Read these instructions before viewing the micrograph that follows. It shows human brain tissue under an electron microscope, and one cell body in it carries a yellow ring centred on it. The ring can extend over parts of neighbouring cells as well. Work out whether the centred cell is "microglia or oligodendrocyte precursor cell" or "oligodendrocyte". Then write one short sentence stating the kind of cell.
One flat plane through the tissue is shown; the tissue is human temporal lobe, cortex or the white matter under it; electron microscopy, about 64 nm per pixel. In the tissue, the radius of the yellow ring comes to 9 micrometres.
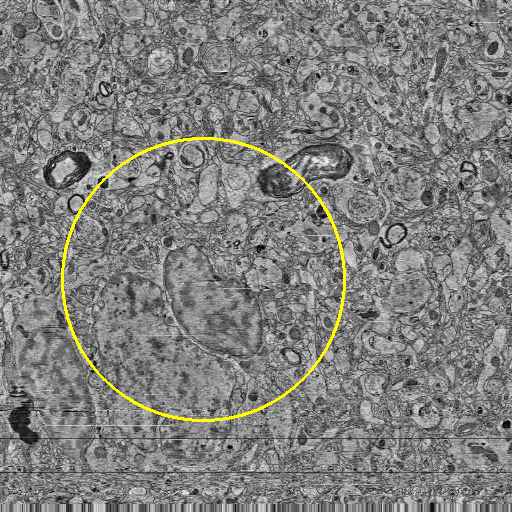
The ringed cell is an oligodendrocyte.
